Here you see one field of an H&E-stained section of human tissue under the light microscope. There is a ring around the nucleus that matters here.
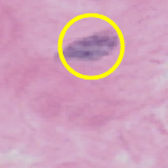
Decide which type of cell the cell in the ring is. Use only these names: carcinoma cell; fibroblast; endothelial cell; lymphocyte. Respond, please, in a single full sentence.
Right, so the cell in the ring is a fibroblast, to answer that.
